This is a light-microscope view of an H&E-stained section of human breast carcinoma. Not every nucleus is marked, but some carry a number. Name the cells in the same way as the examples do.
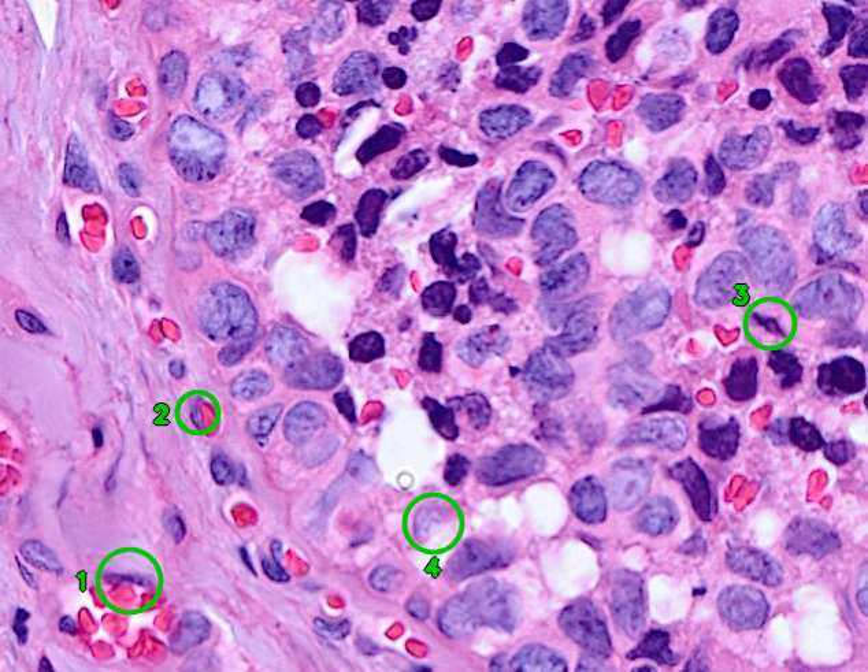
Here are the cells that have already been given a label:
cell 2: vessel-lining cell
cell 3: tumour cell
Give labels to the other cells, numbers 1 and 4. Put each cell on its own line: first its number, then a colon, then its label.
1: vessel-lining cell
4: tumour cell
